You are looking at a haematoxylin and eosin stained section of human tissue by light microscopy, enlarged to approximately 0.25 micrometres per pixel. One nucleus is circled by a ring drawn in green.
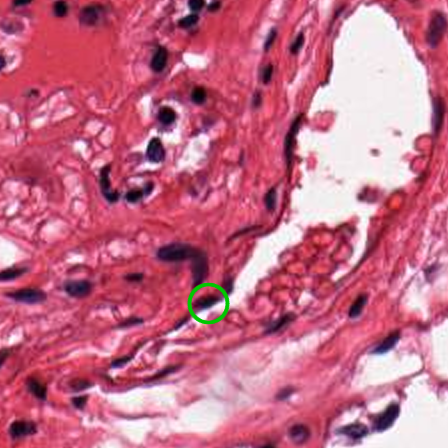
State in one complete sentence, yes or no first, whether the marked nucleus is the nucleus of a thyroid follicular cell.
No, that the marked nucleus belongs to a thyroid follicular cell does not hold; it belongs to a supporting cell.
